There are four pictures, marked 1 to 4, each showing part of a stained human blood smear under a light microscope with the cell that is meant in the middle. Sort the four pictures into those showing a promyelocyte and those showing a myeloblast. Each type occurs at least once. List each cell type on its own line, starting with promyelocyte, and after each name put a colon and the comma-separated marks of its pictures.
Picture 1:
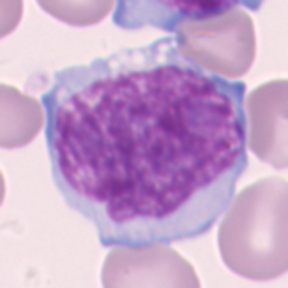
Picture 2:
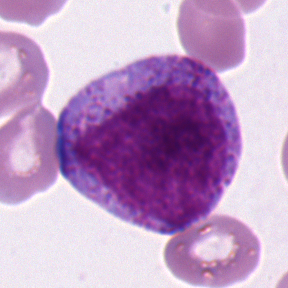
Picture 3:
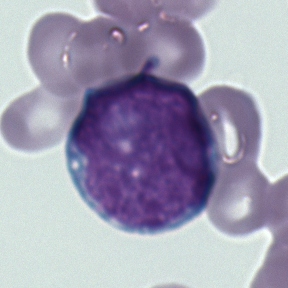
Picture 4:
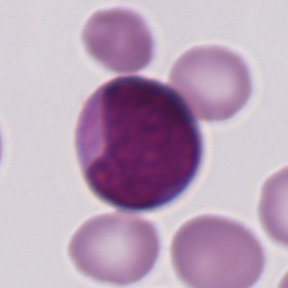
promyelocyte: 2
myeloblast: 1, 3, 4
